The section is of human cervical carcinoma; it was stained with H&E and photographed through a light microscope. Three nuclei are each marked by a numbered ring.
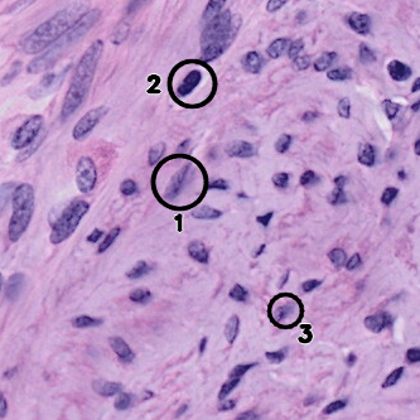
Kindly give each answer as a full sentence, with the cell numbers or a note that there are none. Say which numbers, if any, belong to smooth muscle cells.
The cells numbered 1 and 3 fall into the category of smooth muscle cells.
